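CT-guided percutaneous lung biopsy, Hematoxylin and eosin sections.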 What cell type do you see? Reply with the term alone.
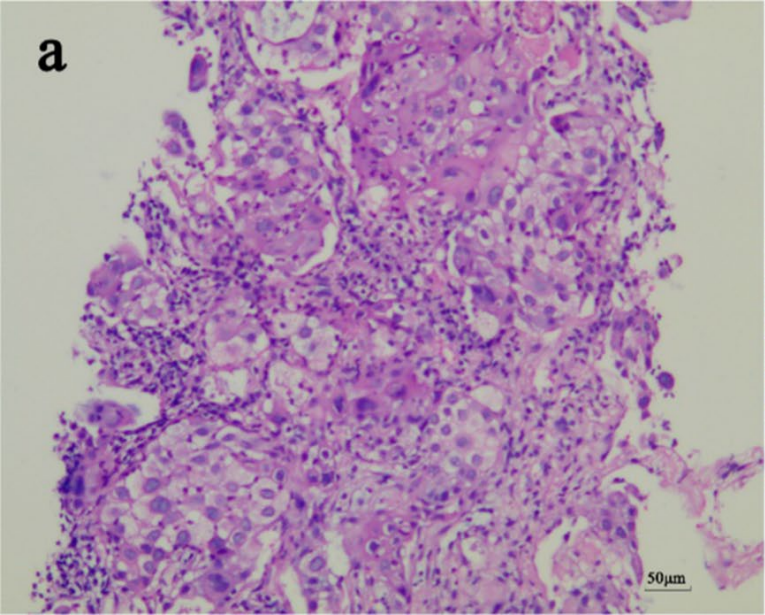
Atypical epithelioid neoplasm cells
